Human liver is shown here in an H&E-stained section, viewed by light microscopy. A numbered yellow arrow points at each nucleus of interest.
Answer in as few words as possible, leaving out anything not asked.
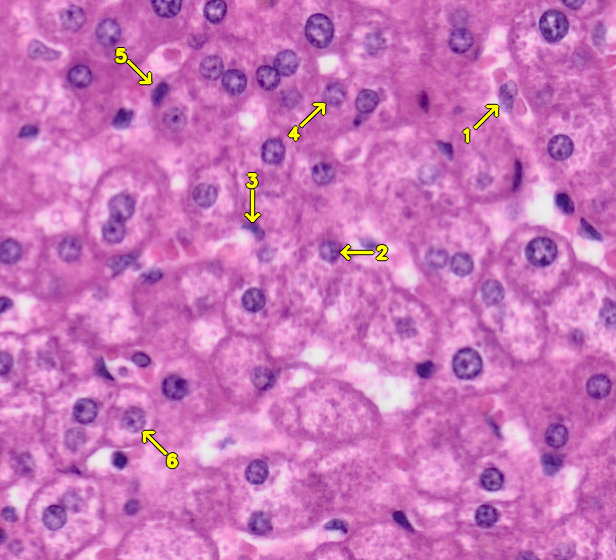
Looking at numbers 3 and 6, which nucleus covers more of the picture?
6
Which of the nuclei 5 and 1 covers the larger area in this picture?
1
